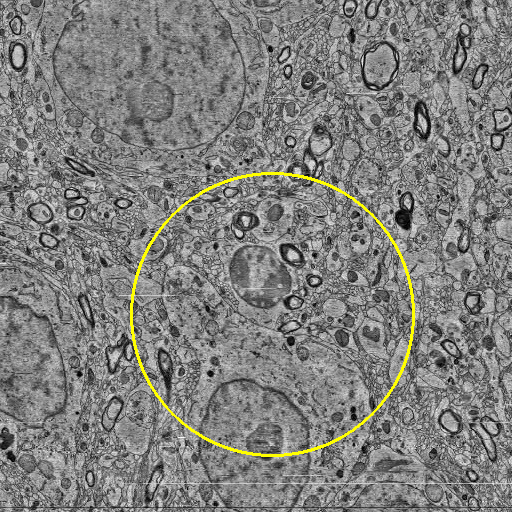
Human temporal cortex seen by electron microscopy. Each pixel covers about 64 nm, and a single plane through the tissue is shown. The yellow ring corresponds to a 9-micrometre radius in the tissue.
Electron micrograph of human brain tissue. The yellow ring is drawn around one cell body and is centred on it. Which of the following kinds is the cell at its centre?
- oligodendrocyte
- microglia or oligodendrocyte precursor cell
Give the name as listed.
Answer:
microglia or oligodendrocyte precursor cell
